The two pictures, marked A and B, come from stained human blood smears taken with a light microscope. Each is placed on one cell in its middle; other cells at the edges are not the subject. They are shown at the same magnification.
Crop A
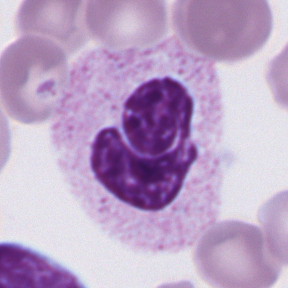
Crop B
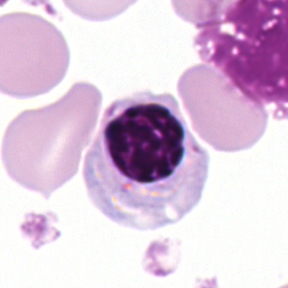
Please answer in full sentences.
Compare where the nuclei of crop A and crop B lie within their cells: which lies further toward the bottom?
Seen within its cell, the nucleus in crop A lies further toward the bottom.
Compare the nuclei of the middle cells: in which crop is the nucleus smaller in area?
It is the nucleus in crop B; the one in crop A has about 2 times its area.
